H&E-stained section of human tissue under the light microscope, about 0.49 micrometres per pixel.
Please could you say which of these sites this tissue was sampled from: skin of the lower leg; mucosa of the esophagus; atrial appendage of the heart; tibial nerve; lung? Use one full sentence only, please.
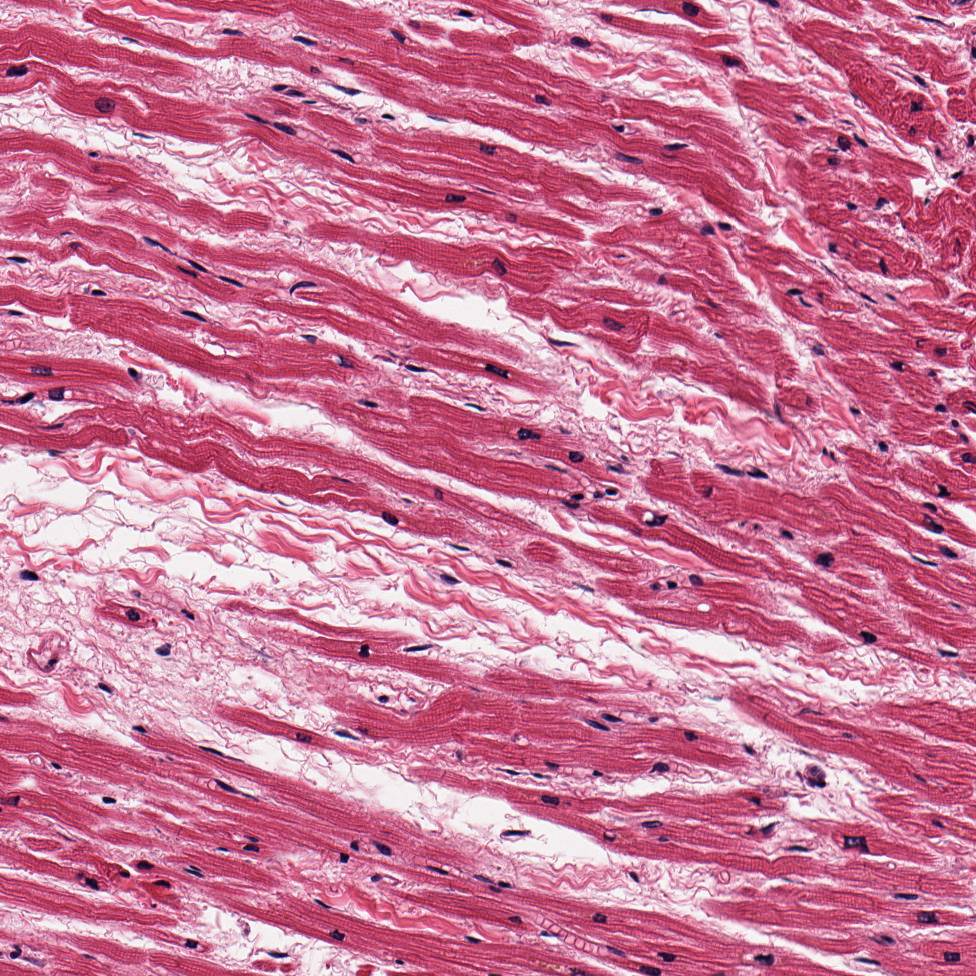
For this section, tissue was sampled from the atrial appendage of the heart.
